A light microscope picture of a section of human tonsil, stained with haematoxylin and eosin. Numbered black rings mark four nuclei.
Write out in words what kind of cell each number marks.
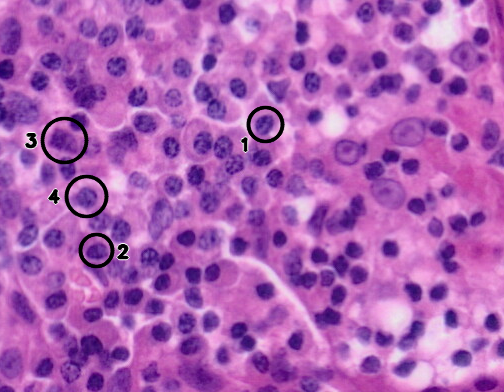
Cell 1 is a plasma cell, cell 2 is a plasma cell, cell 3 is a squamous epithelial cell and cell 4 is a plasma cell.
